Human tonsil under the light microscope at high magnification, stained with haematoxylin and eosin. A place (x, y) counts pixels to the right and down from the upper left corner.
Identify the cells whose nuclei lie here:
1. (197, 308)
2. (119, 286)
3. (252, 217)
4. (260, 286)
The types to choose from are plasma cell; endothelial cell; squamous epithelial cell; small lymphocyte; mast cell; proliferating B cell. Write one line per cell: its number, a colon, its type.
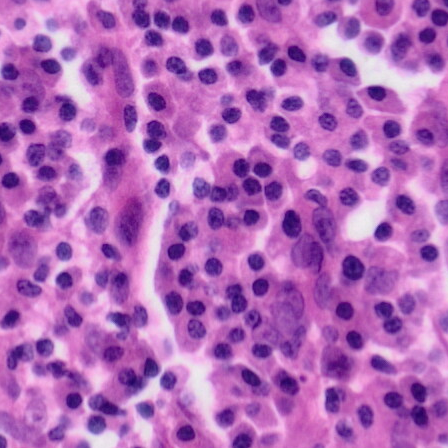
1: plasma cell
2: squamous epithelial cell
3: plasma cell
4: plasma cell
